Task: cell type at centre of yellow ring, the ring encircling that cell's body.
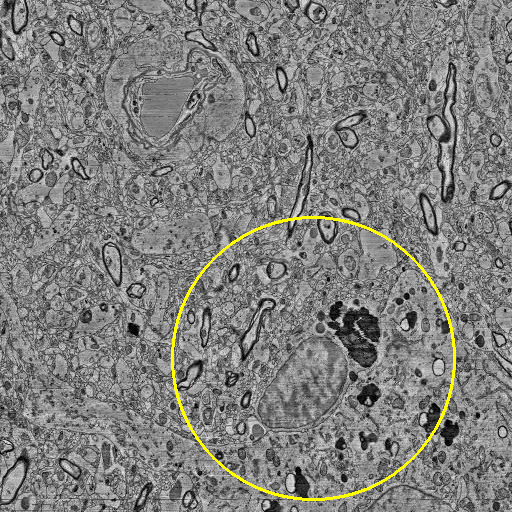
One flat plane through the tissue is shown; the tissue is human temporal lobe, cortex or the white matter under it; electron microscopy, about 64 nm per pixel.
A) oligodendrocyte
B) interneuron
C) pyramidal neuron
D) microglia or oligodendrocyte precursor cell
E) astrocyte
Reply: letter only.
A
